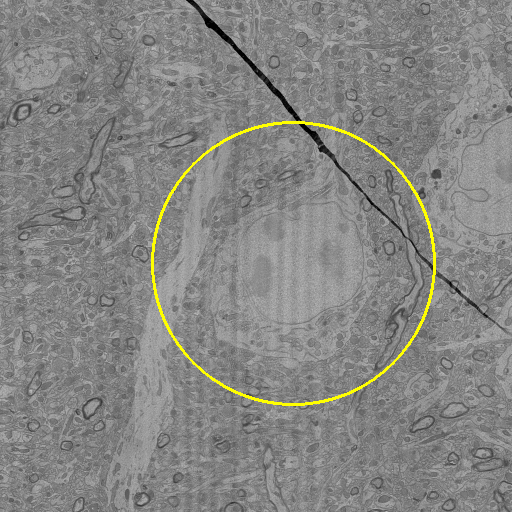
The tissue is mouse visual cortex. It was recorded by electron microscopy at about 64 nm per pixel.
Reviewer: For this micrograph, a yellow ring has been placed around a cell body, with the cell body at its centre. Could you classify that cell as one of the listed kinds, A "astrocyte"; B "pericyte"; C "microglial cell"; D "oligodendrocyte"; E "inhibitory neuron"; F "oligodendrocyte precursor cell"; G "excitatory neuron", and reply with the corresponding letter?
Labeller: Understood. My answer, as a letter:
G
